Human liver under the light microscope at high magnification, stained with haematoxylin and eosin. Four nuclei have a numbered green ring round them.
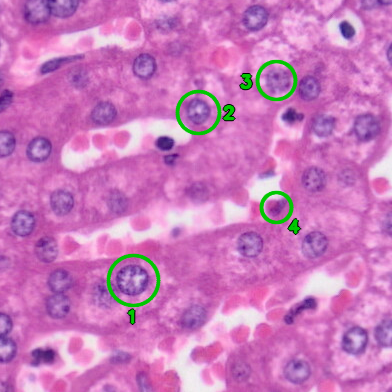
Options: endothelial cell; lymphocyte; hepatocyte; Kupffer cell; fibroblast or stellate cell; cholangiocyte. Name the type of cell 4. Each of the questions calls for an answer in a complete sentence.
Cell 4 in the field of view is an endothelial cell.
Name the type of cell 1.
The cell numbered 1 represents a hepatocyte.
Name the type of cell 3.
In this section, number 3 marks a hepatocyte.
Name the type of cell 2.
Cell 2 is classified as a hepatocyte.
